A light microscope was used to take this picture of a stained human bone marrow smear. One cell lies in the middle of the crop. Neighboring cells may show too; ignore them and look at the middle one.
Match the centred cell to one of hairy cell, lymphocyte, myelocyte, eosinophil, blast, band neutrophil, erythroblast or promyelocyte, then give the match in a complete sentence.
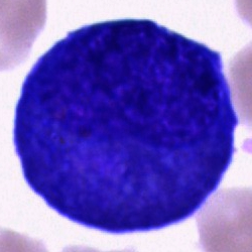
The centered cell in this crop is a promyelocyte.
